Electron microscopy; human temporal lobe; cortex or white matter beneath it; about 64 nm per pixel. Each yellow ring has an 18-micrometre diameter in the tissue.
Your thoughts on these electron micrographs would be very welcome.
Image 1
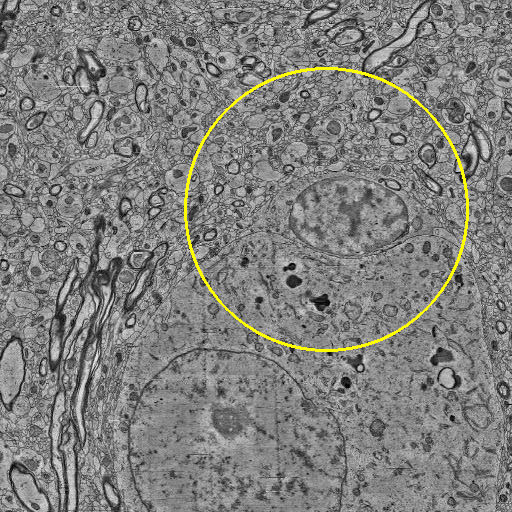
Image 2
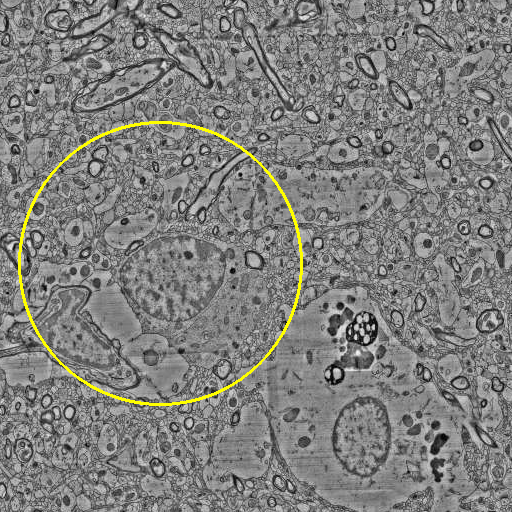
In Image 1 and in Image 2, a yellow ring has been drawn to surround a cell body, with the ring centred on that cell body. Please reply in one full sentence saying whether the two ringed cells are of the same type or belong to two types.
The ringed cells in Image 1 and Image 2 are of the same type.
